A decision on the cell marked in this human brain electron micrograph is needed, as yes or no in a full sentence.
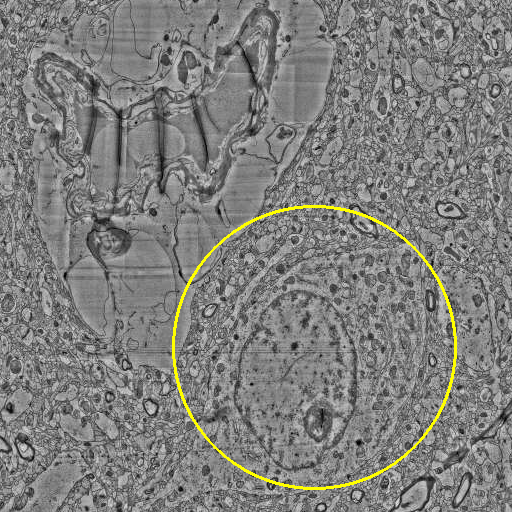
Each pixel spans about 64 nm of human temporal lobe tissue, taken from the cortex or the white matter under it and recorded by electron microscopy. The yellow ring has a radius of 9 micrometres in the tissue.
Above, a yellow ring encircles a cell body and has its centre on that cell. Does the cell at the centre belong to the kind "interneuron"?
Yes, the kind given fits the cell at the centre of the ring in the picture.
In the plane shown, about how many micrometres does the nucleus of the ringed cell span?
The nucleus comes to roughly 11 by 8 micrometres in this plane.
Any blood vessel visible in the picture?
Yes, a blood vessel is present in this picture.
